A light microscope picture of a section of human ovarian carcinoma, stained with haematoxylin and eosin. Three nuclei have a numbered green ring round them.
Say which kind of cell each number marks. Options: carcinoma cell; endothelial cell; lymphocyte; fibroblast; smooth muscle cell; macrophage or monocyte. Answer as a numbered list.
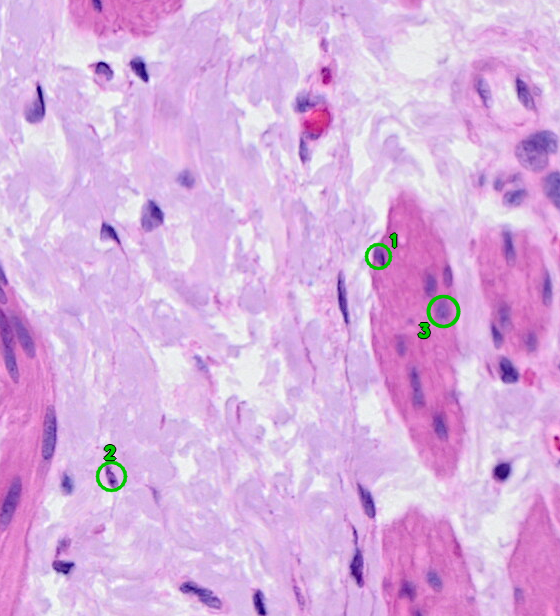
1. smooth muscle cell
2. fibroblast
3. smooth muscle cell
